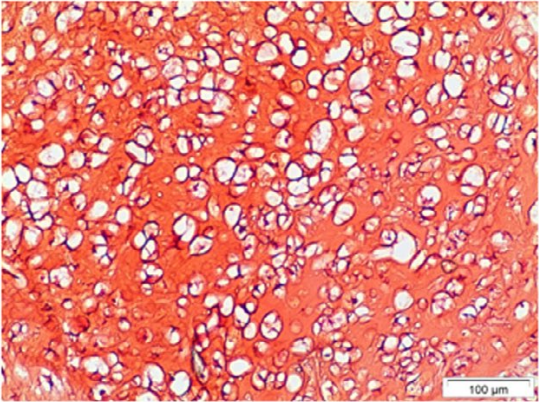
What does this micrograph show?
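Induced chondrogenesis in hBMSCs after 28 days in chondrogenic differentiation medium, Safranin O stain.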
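The matrix between the cells stains a strong orange-red. The chondrocytes sit in rounded, clear spaces that look like lacunae, singly or in small clusters. Thin dark purple rims and small dark nuclei mark the edges of these spaces. The spaces are densely scattered across the field and vary somewhat in size, some larger and some smaller.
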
